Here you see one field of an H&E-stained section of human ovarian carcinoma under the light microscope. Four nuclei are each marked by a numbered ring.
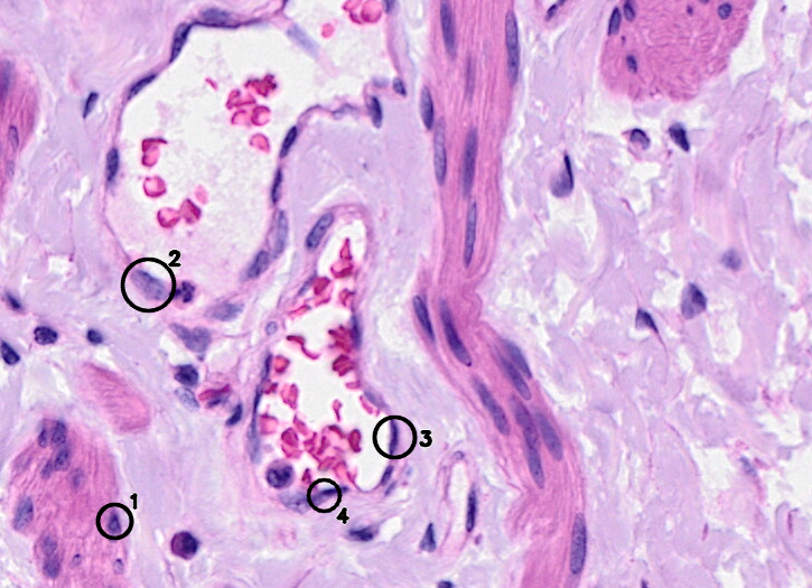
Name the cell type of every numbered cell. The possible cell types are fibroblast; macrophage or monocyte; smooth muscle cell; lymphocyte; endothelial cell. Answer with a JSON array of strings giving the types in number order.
["smooth muscle cell", "endothelial cell", "endothelial cell", "endothelial cell"]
